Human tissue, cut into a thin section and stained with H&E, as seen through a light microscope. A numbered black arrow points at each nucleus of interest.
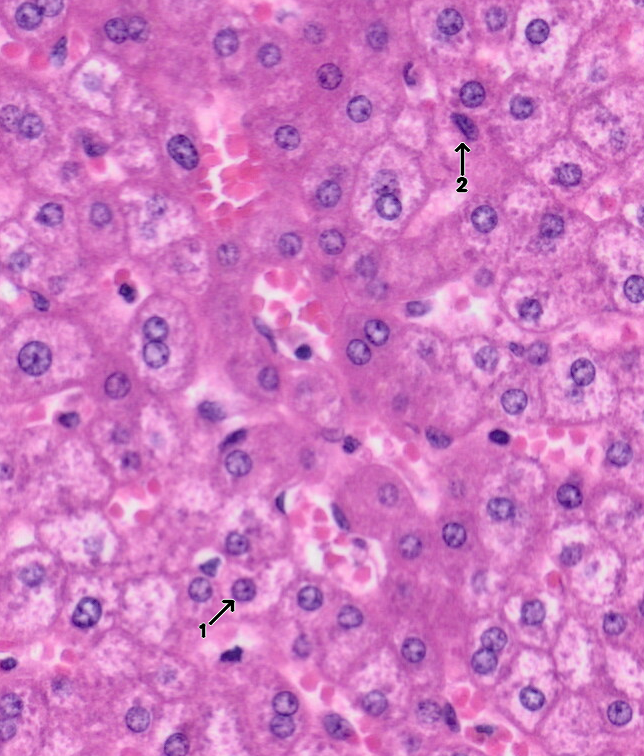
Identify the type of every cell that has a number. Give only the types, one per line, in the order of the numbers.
hepatocyte
fibroblast or stellate cell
